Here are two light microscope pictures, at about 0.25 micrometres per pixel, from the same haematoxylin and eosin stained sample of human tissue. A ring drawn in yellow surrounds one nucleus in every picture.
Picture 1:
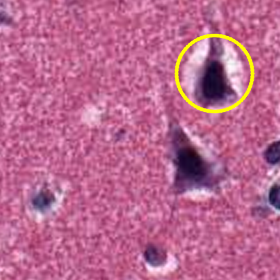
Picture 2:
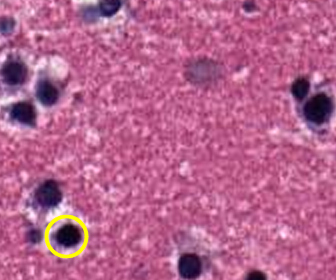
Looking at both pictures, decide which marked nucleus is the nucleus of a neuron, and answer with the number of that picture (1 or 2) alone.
1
